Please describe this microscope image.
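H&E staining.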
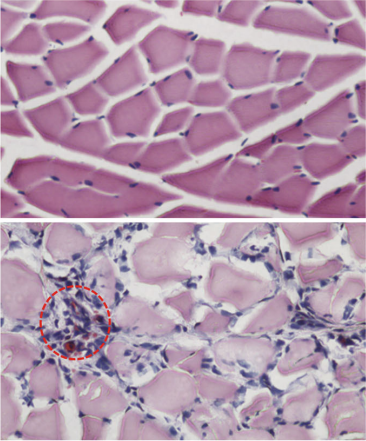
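The upper image shows skeletal muscle cut across, with pink polygonal fibers packed closely together and small dark blue nuclei sitting at their edges. Only thin clefts separate the fibers. In the lower image, the fibers are paler, rounded and unevenly sized, and widened spaces lie between them. These spaces are filled with many small dark blue nuclei. One dense cluster of nuclei, set among damaged fibers, stands out as a necrotized region, alongside a cellular infiltrate.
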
